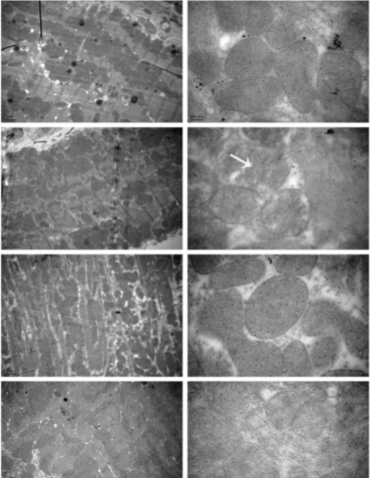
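Heart muscle is shown in transmission electron micrographs. At low magnification, rows of mitochondria lie between the banded myofibrils. At high magnification, the mitochondria appear as rounded, closely packed, membrane-bound organelles with inner folds of varying density.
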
